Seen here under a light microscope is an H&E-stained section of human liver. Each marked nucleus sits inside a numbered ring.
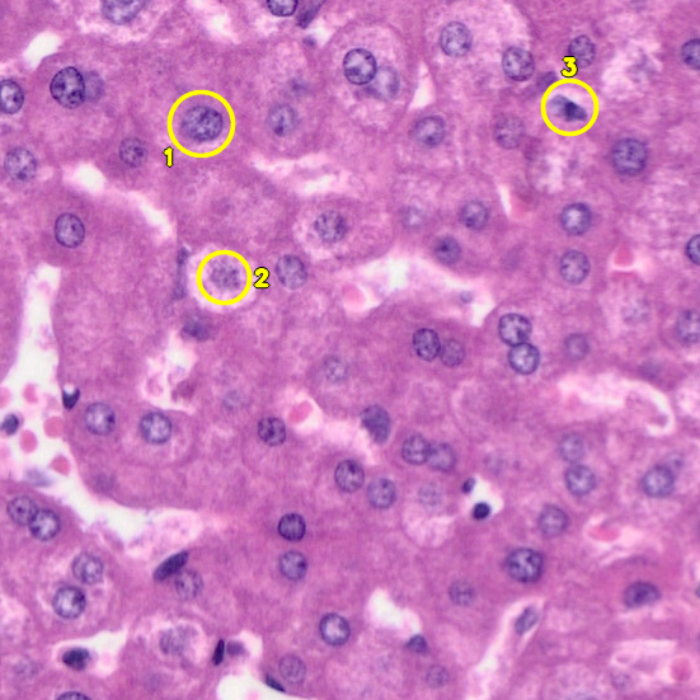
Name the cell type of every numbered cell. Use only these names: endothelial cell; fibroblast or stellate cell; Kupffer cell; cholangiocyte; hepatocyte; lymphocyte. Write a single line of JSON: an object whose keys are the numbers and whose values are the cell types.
{"1": "hepatocyte", "2": "hepatocyte", "3": "endothelial cell"}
